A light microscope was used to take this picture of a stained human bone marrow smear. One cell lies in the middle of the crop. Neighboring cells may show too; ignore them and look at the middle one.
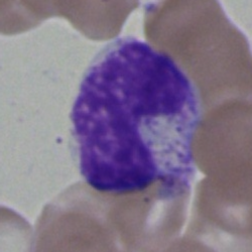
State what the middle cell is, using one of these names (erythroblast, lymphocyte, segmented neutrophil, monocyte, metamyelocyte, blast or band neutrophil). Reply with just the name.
metamyelocyte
